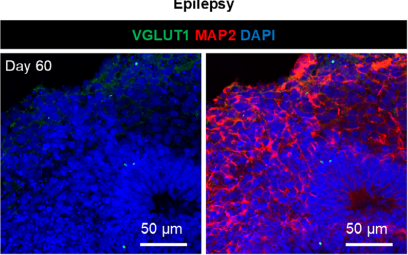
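Blue nuclei crowd the field densely, with some rounded darker spaces among them. In the merged view red processes form a coarser, thicker branching network, brightest toward the upper part of the tissue.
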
